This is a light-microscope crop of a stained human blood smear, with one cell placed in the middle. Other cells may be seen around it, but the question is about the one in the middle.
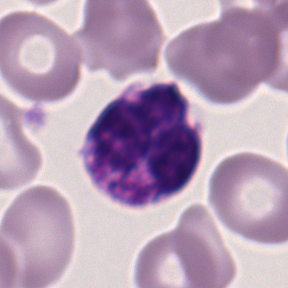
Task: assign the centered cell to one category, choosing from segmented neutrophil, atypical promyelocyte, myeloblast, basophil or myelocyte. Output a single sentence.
At the crop's centre, the cell is a basophil.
